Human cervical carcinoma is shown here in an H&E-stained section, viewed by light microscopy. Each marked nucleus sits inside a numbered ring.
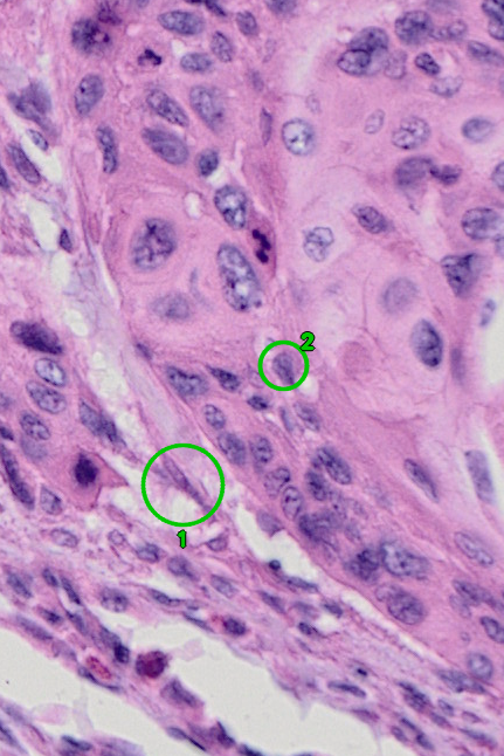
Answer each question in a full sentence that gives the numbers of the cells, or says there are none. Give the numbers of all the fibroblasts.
Only the nucleus marked 1 is that of a fibroblast.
